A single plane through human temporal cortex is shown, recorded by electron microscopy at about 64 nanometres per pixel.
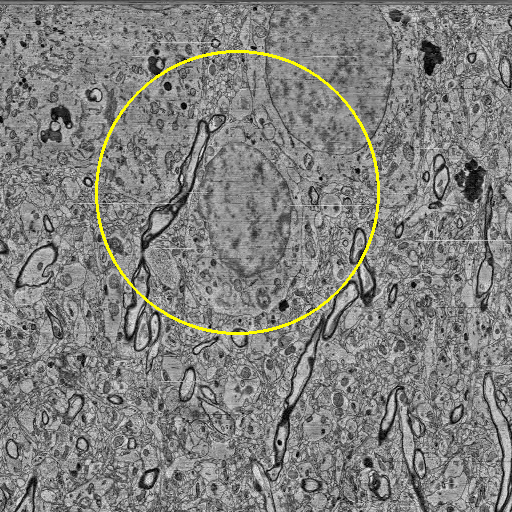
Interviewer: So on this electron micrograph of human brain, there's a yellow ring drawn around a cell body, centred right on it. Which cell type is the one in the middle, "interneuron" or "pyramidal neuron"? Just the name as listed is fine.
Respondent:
interneuron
